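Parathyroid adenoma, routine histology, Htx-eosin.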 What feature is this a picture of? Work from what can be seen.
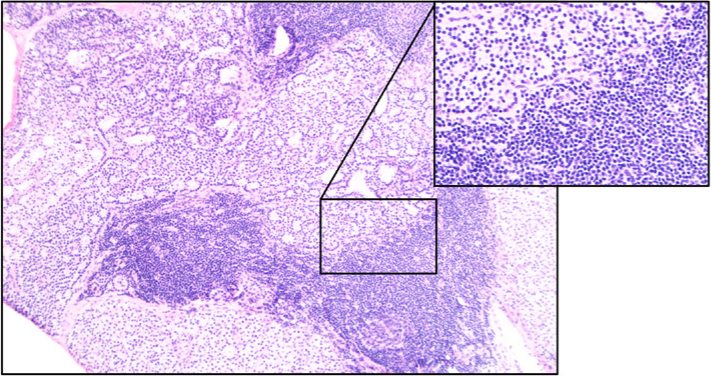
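Large, dense, dark purple aggregates of small round cells lie within paler tumor tissue. That points to this answer: Germinal center-like nodular infiltrates.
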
